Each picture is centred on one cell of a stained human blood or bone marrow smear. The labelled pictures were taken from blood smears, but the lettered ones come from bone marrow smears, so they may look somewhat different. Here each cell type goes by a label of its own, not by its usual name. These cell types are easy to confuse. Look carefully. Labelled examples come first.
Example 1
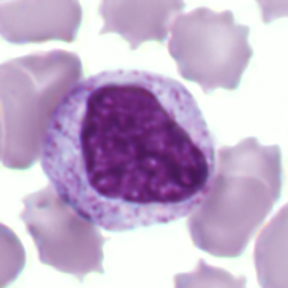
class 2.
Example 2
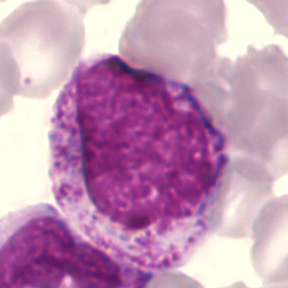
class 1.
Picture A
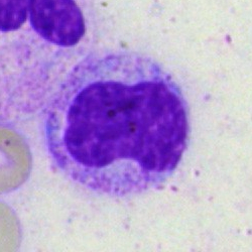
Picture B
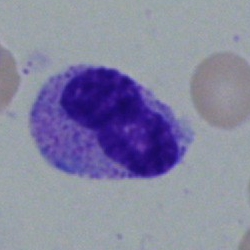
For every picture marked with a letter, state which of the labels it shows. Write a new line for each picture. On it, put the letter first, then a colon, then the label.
A: class 2.
B: class 2.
